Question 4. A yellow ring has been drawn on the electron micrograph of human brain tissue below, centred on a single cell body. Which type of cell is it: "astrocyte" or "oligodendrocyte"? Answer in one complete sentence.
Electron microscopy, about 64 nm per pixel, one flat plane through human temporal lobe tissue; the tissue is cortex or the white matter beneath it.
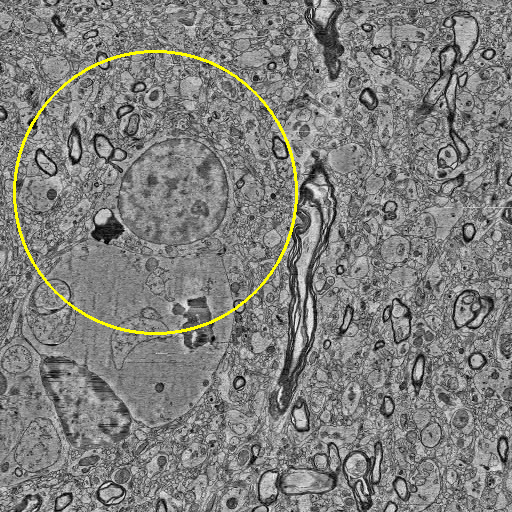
This cell body belongs to an oligodendrocyte.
